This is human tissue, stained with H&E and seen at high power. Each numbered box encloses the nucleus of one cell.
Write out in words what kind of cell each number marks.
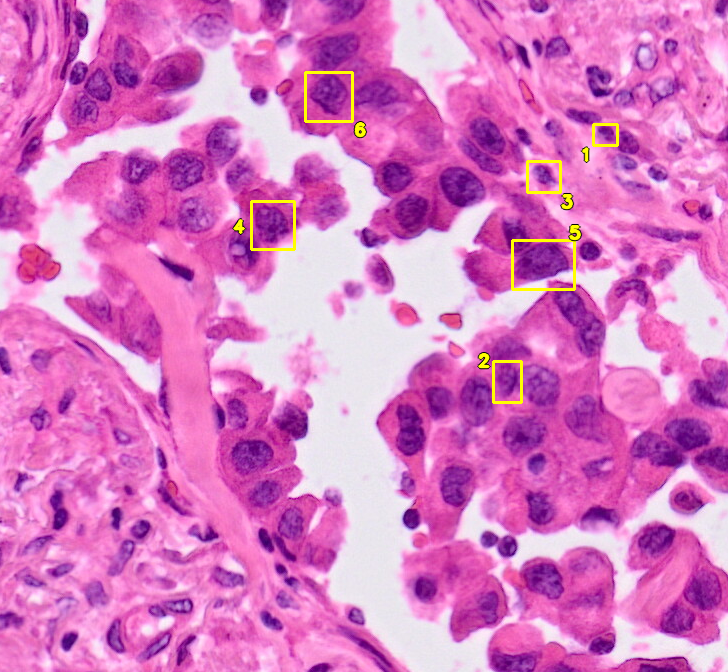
Cell 1 is a plasma cell. Cells 2, 4, 5 and 6 are carcinoma cells. Cell 3 is a lymphocyte.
